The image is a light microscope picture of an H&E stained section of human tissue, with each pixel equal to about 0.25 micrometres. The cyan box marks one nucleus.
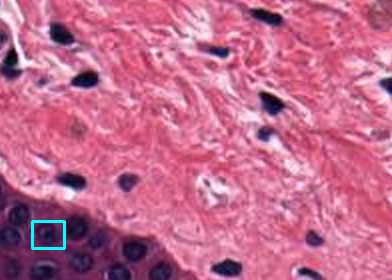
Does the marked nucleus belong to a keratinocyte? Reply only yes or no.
yes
